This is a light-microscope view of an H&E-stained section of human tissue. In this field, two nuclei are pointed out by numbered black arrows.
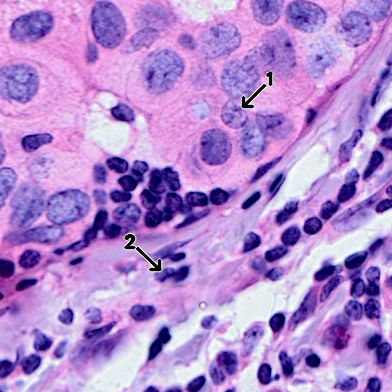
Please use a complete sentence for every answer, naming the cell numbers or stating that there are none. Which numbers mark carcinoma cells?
None but cell 1 among the numbered cells is a carcinoma cell.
